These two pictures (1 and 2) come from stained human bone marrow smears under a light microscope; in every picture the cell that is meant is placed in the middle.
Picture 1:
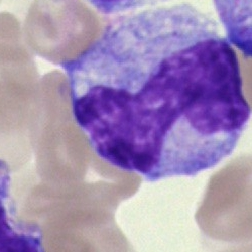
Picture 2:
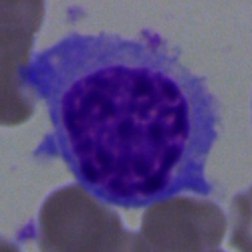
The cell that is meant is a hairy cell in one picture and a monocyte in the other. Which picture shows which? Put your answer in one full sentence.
In picture 1 the cell is a monocyte; in picture 2, a hairy cell.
